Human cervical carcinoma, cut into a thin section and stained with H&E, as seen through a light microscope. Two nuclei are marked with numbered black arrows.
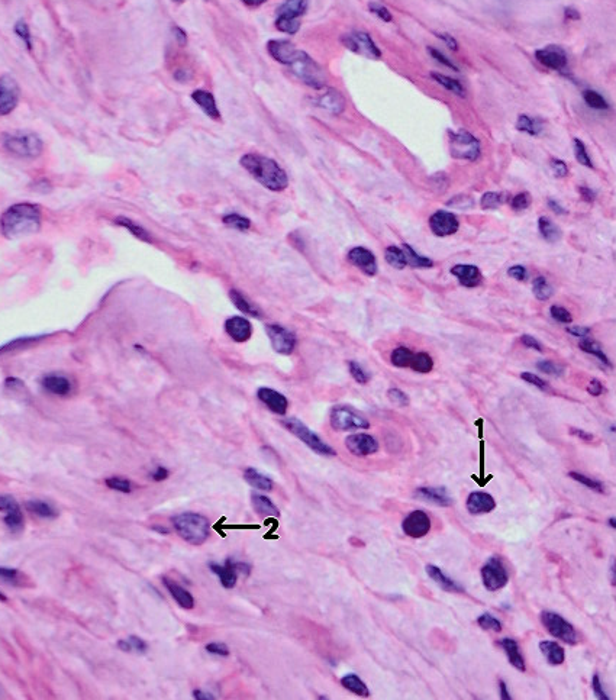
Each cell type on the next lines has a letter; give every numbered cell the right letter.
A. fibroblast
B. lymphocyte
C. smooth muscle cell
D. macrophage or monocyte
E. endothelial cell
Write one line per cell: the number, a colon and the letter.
1: B
2: D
